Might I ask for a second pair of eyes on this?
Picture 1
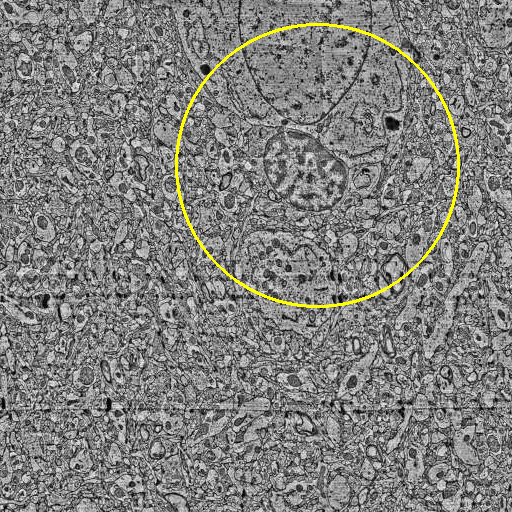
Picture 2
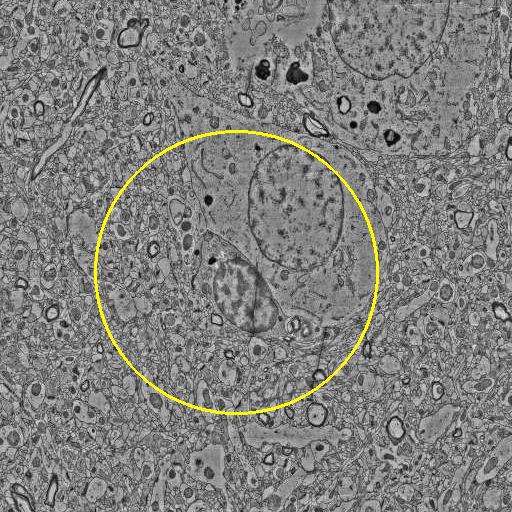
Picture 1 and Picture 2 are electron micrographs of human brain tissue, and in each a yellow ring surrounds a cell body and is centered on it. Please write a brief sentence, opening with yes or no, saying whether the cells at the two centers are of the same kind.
Yes, the cells are of the same kind.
